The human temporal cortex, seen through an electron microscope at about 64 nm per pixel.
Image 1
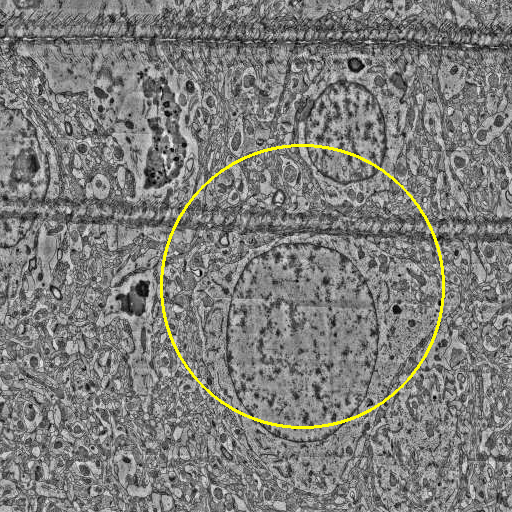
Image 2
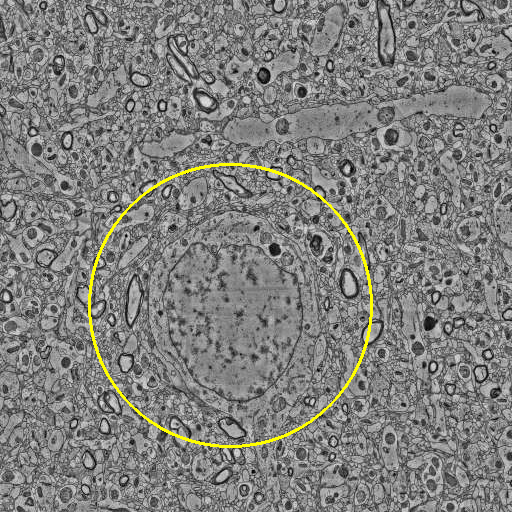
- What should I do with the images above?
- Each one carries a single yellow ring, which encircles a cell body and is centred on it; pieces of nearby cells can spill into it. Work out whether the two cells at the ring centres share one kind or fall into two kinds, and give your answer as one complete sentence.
The ring-centre cells of Image 1 and Image 2 share one kind.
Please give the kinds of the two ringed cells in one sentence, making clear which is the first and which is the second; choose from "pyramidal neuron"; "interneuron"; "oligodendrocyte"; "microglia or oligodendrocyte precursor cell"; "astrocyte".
The cell in the first picture is a pyramidal neuron, and so is the one in the second.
